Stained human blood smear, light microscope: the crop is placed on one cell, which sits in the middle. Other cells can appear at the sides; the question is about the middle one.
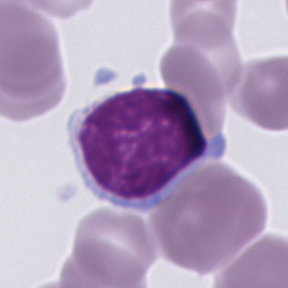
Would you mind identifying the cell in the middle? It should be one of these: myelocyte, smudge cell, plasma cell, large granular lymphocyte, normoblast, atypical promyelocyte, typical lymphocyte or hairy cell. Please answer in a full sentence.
What the crop centres on is a large granular lymphocyte.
